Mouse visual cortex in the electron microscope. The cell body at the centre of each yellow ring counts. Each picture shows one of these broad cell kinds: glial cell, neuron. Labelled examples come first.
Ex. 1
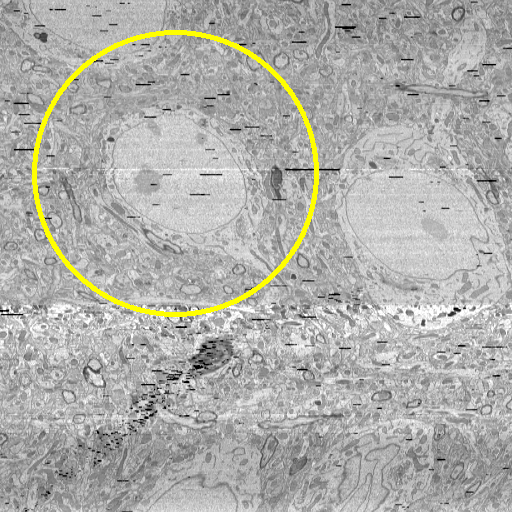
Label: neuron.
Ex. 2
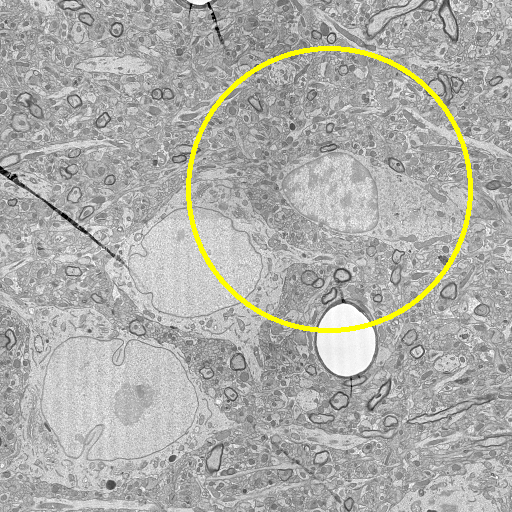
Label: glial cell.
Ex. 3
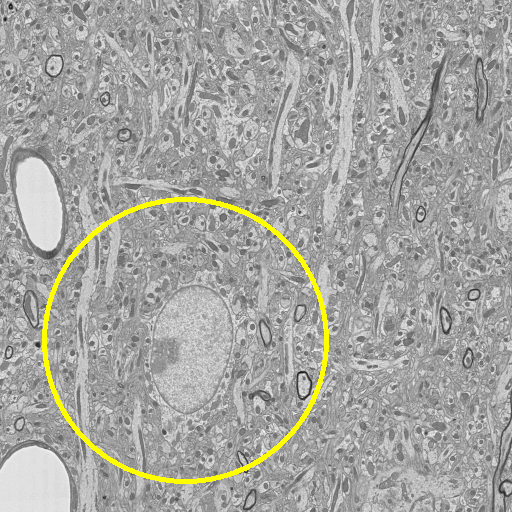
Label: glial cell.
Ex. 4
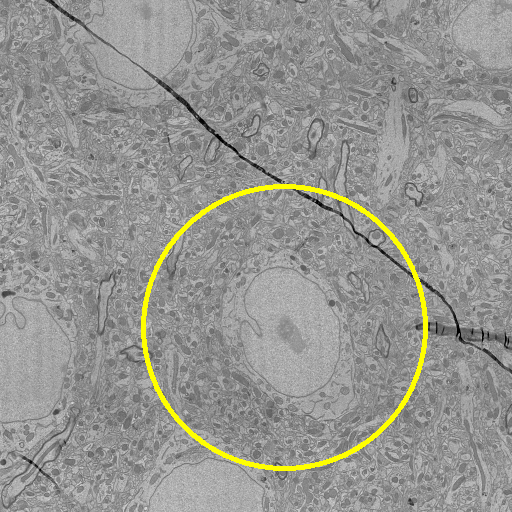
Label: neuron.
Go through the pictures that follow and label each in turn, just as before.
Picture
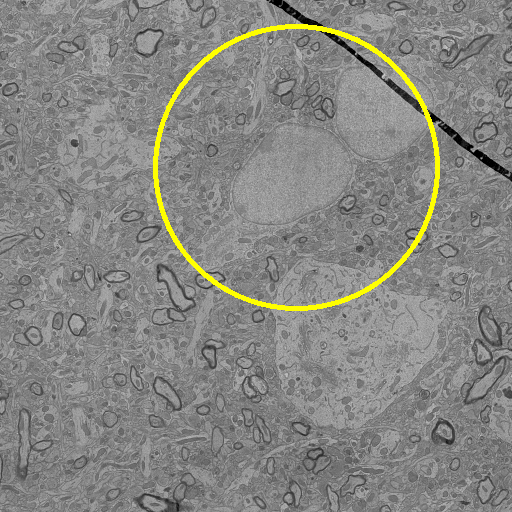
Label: glial cell.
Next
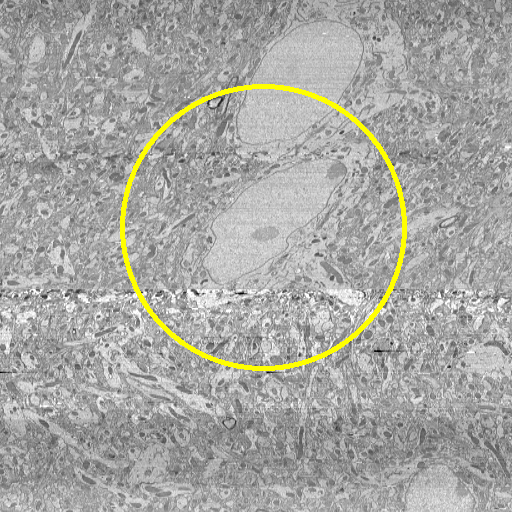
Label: neuron.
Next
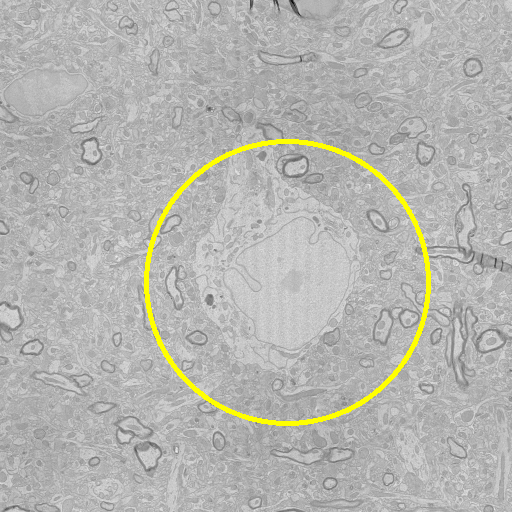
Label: neuron.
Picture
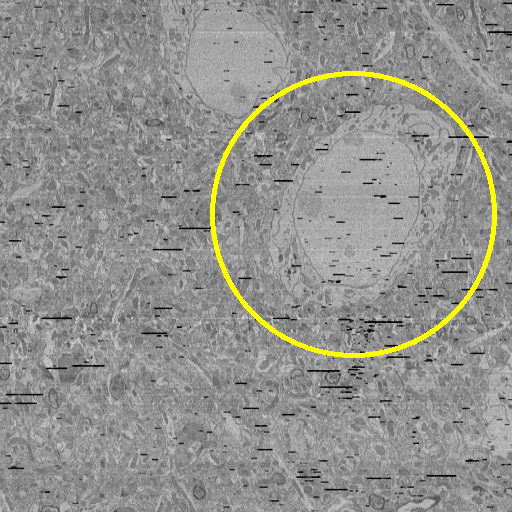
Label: neuron.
